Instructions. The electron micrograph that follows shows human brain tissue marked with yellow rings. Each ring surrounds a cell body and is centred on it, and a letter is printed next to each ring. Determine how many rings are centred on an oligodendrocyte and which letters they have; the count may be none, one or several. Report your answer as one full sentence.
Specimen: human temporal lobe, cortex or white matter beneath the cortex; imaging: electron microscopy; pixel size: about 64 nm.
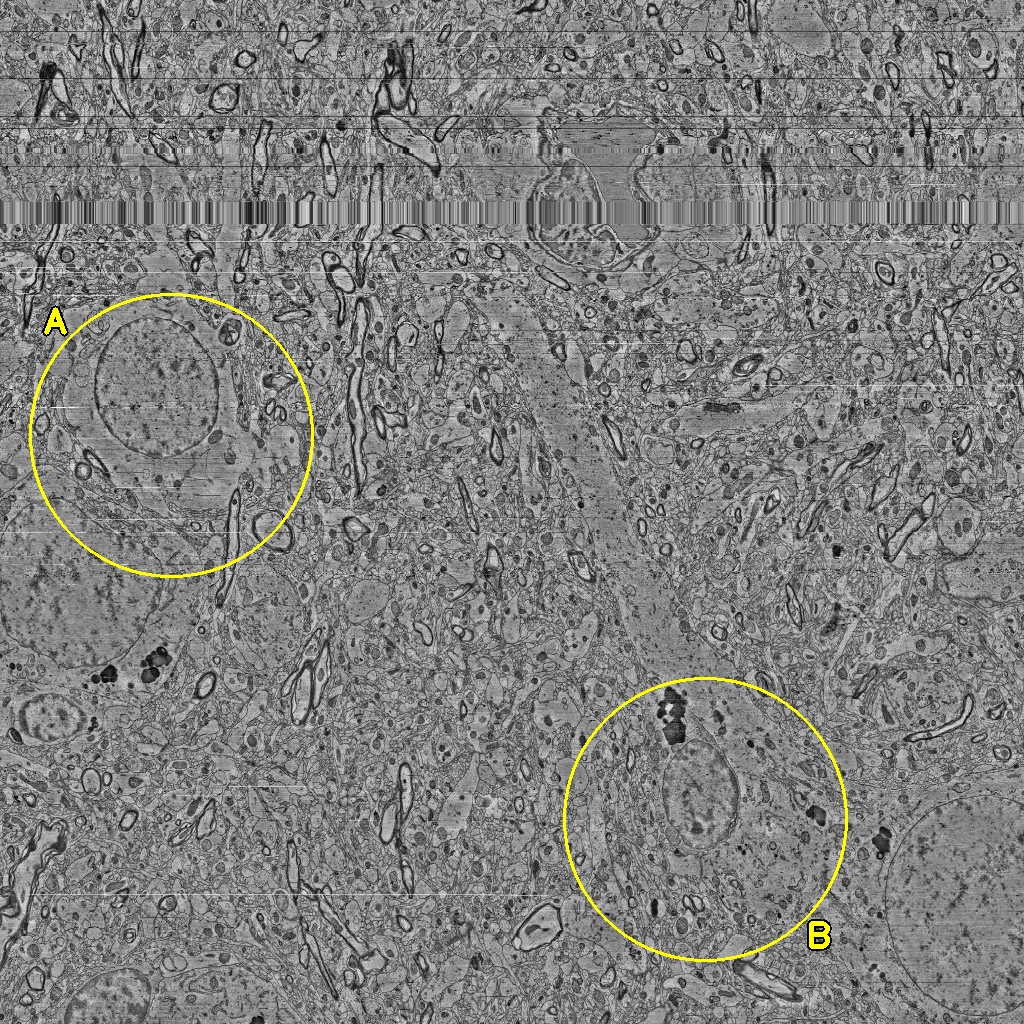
A single yellow ring is centred on an oligodendrocyte, and that ring has the letter B.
